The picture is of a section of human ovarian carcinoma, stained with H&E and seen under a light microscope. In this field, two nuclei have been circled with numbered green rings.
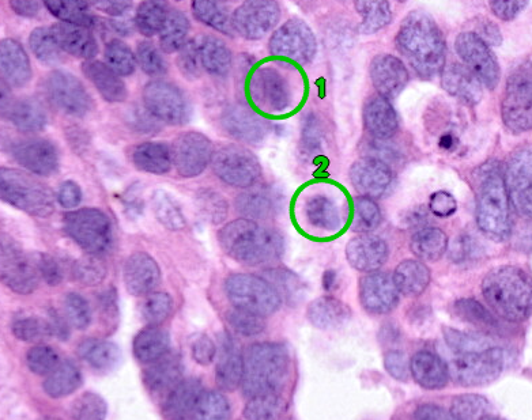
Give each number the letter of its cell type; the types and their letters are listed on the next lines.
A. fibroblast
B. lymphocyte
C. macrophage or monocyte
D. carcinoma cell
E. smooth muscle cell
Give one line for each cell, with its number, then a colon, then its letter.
1: D
2: C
